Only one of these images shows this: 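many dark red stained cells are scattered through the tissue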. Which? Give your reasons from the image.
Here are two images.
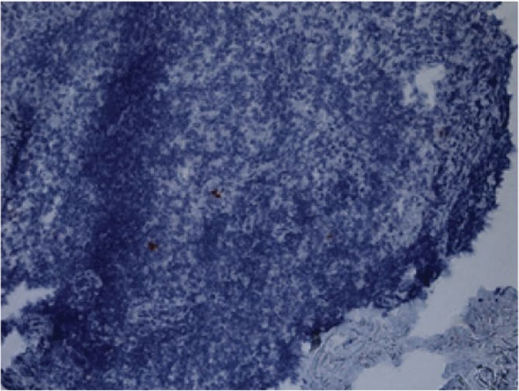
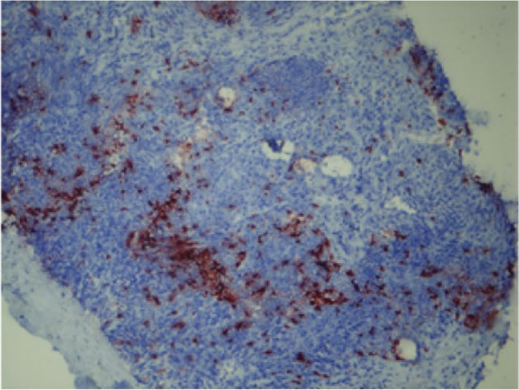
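Second image: numerous dark red cells lie scattered and in clusters across the section. First image: the section is almost entirely blue, with only one or two tiny dark red dots.
Answer: the second image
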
